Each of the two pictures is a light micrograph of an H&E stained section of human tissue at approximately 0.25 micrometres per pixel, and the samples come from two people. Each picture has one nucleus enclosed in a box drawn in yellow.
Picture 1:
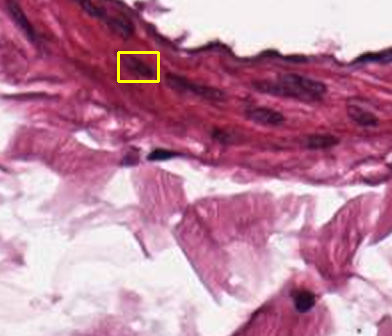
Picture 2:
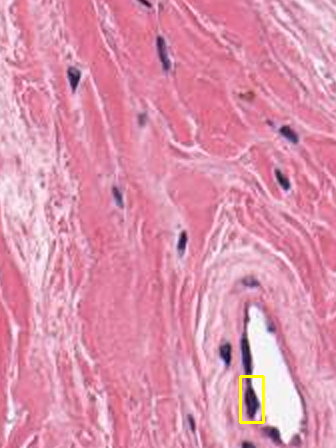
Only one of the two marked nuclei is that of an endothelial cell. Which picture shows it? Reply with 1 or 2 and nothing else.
2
